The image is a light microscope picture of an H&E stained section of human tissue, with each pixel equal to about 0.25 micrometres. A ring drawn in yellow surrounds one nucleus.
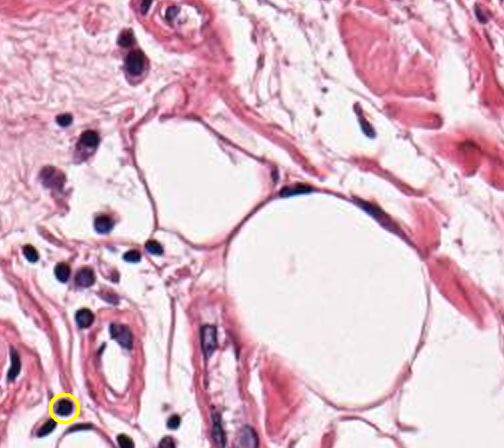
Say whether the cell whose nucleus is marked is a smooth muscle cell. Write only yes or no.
no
